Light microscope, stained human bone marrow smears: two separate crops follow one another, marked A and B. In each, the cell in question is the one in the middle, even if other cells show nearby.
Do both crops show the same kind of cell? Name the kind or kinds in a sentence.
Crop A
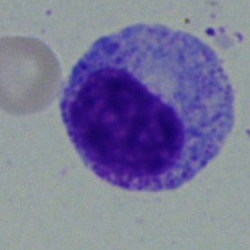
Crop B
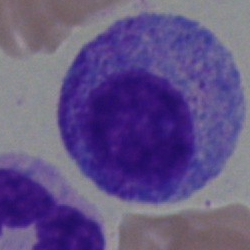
Yes, the pair of crops both show myelocytes.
